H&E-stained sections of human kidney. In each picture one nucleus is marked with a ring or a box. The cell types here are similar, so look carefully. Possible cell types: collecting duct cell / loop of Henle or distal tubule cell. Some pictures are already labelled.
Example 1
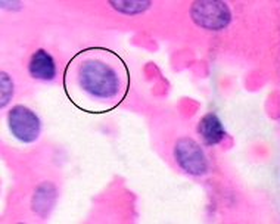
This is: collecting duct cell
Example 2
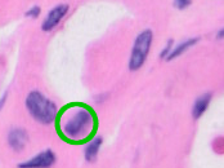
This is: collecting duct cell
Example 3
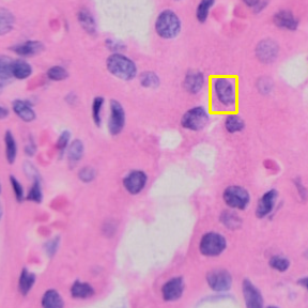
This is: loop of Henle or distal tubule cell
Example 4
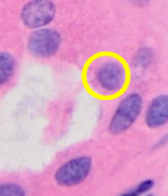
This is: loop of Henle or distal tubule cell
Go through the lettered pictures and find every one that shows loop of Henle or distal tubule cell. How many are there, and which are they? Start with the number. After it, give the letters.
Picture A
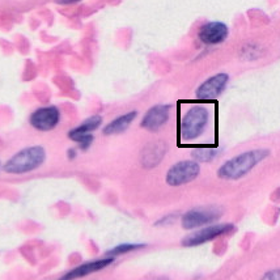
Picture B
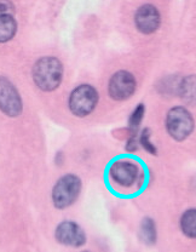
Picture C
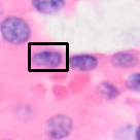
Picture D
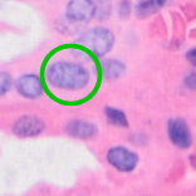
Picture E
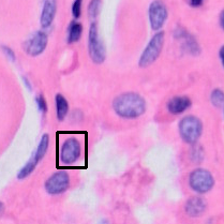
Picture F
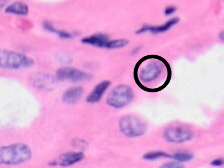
Count: 3 (C, E, F)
